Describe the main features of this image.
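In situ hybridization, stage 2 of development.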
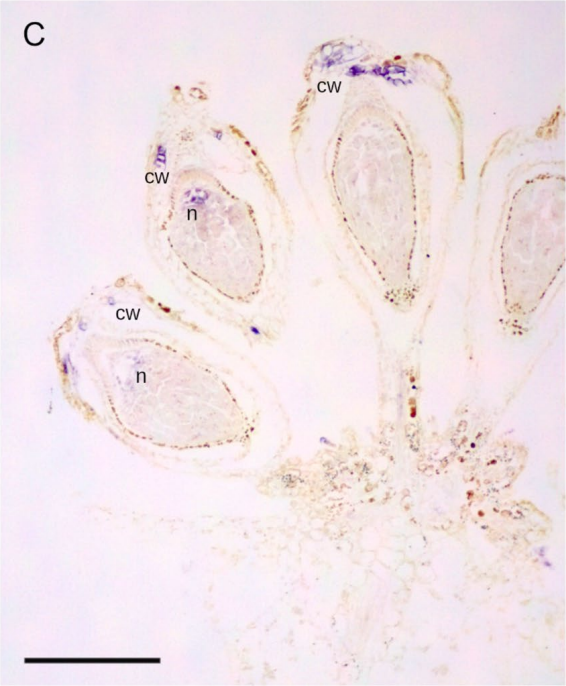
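Several ovules on stalks radiate from a common base, each enclosed by a carpel wall. Within each ovule a central oval body of nucellus is surrounded by envelope layers, with a dotted brownish cell layer outlining it. Faint purple-blue staining appears at the apical portion of the carpel walls near their tips and in the nucellus toward the upper end of the ovules. The base tissue below shows scattered brownish cells and loose parenchyma.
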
